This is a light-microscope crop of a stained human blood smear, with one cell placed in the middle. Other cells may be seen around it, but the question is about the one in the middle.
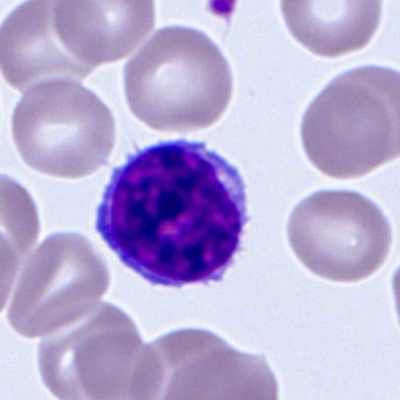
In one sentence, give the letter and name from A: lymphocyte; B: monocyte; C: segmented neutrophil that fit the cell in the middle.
Option A correctly names the cell in the middle as a lymphocyte.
